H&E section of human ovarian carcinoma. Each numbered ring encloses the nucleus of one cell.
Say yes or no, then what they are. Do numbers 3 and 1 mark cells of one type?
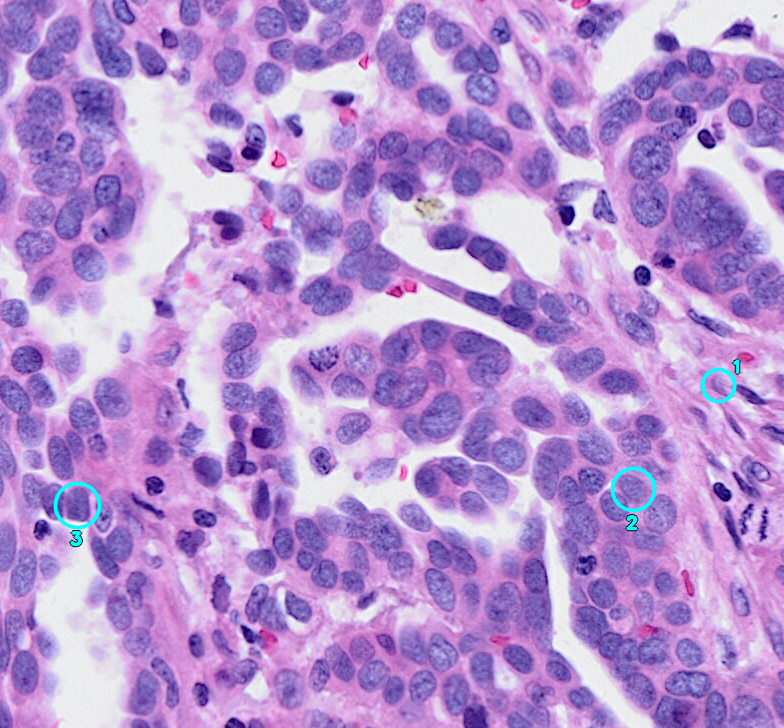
No, cell 3 is a carcinoma cell and cell 1 is a fibroblast.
